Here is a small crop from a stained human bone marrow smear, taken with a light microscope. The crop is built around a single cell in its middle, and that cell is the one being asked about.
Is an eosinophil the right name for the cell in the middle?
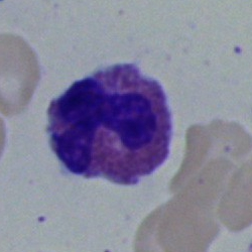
yes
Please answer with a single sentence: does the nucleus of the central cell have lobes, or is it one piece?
Multiple nuclear lobes, two or more, can be counted in this cell.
